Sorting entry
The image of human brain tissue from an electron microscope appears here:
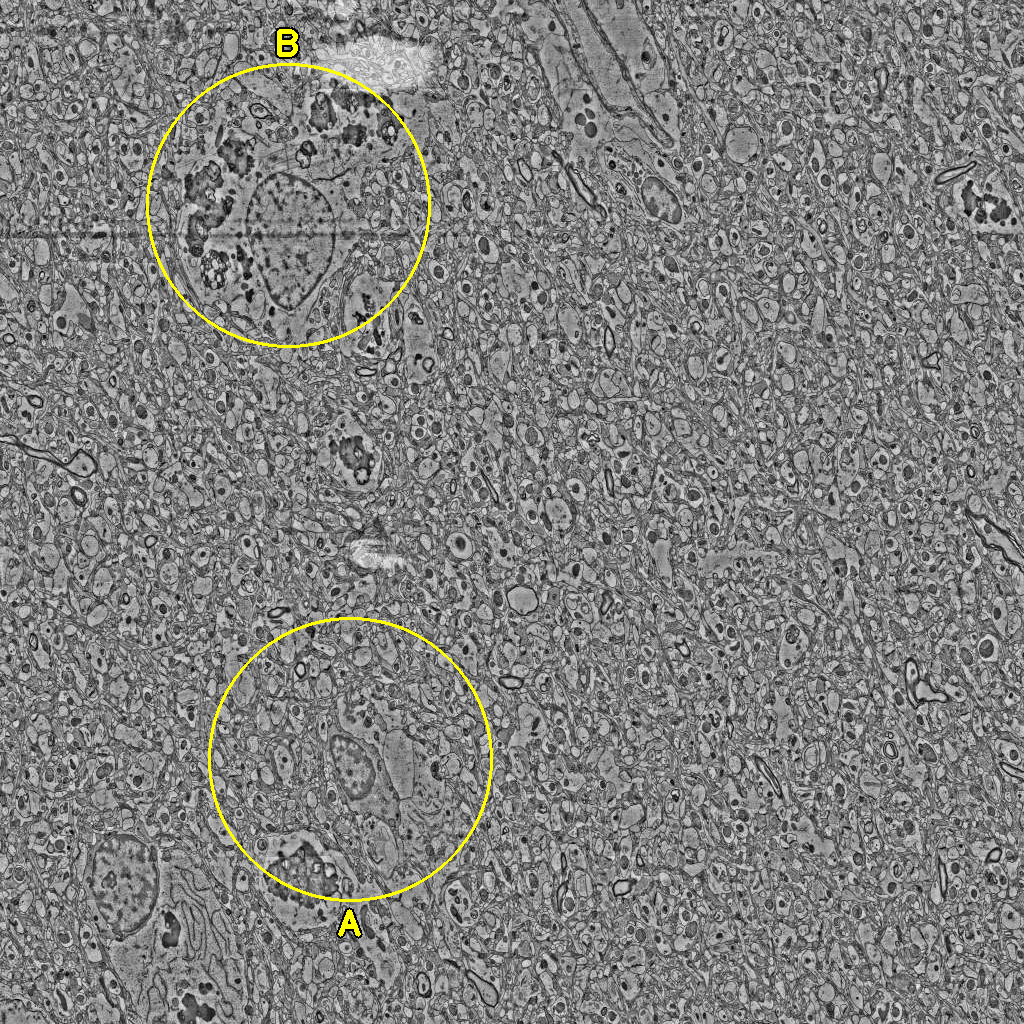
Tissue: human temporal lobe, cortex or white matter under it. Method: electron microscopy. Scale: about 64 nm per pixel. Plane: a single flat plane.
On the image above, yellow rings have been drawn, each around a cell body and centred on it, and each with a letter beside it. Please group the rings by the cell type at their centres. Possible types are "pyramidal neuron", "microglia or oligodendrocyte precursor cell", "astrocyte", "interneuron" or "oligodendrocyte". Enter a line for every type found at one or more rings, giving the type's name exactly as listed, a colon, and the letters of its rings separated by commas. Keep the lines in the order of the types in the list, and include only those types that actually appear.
astrocyte: B
oligodendrocyte: A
